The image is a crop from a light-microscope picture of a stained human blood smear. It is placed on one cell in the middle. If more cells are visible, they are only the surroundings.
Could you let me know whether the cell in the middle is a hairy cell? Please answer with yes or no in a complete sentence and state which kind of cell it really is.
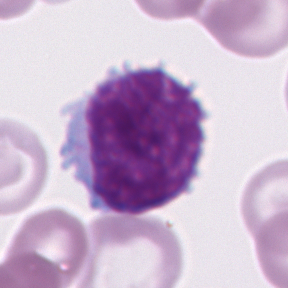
No, the one in the center is not a hairy cell; it is a blast.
